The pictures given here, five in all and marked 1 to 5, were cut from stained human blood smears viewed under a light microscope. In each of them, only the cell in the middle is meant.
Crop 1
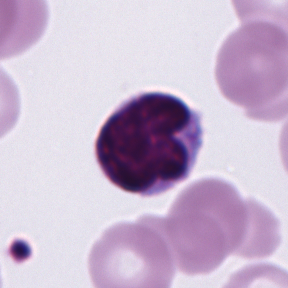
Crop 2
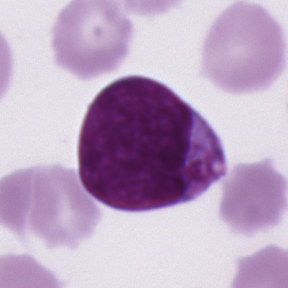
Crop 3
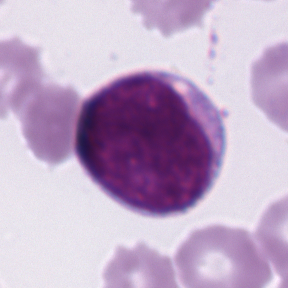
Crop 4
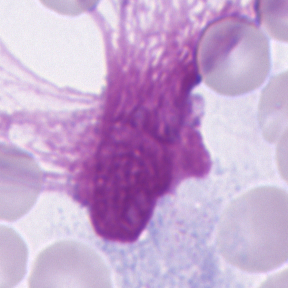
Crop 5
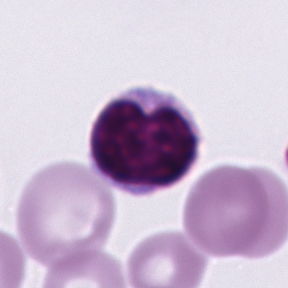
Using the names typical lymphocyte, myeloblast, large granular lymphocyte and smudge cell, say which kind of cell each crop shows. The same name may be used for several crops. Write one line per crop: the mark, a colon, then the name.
1: typical lymphocyte
2: myeloblast
3: myeloblast
4: smudge cell
5: large granular lymphocyte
